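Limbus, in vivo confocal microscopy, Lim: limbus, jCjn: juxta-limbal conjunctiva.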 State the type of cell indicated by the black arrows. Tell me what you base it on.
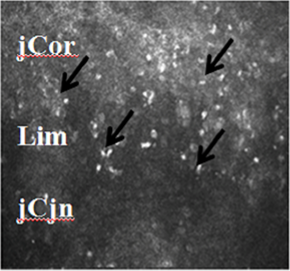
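Scattered small bright dots and short branched bodies lie over a darker grey background. The bright bodies cluster in the upper and middle part of the field.
Inflammatory cells.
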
